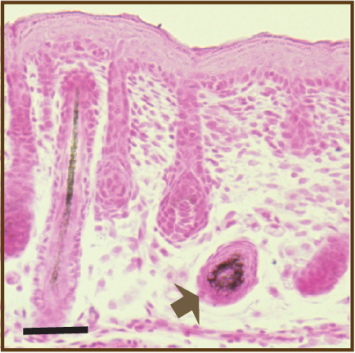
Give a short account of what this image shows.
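The epidermis forms a thin layered band across the top, and several elongated follicles extend downward as cords of closely packed pink cells, one containing a thin dark hair shaft. The surrounding dermis is loose and pale with scattered small nuclei.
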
